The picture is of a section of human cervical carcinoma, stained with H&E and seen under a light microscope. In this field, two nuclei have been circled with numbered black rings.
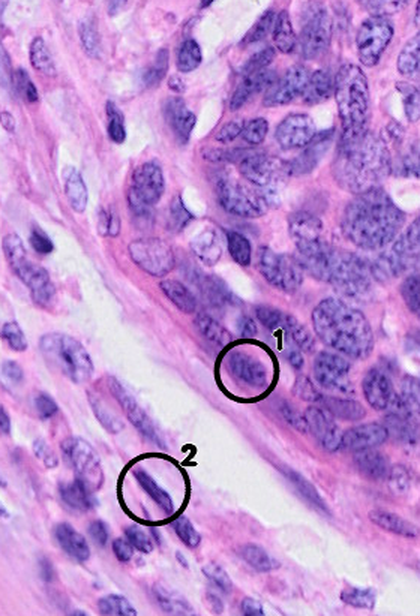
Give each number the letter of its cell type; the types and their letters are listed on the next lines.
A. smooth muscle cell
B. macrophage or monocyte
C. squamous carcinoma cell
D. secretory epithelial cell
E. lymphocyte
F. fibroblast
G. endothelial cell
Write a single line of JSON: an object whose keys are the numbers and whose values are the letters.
{"1": "C", "2": "E"}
